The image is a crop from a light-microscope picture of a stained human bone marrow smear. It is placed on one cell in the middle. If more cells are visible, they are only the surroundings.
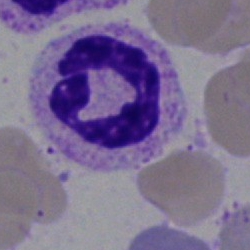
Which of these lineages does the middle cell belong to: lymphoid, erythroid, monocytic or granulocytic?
granulocytic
